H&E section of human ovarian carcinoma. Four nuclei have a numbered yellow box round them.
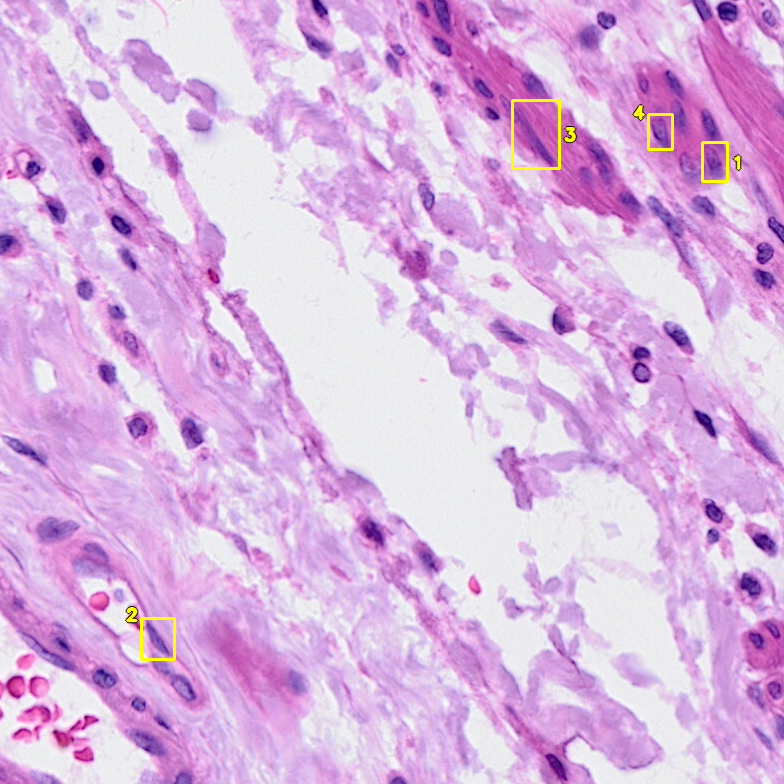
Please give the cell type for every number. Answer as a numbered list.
1. smooth muscle cell
2. endothelial cell
3. smooth muscle cell
4. smooth muscle cell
